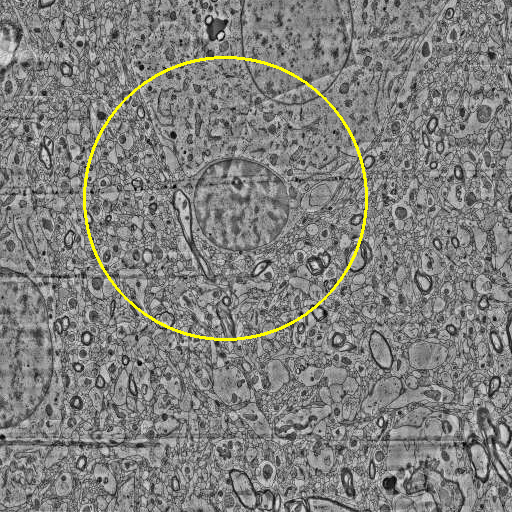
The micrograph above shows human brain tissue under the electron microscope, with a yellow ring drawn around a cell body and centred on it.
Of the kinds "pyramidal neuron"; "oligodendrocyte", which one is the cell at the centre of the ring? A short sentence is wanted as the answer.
The one at the centre of the ring is an oligodendrocyte.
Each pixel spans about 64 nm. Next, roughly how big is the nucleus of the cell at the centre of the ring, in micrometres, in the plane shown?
About 7 micrometres across in this plane, for the nucleus.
